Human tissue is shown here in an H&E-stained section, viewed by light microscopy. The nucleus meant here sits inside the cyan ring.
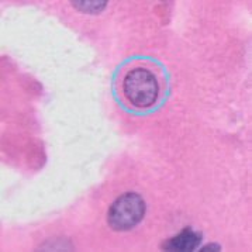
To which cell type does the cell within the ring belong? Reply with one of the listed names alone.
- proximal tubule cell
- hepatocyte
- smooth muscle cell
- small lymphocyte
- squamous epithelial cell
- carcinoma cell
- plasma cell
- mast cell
proximal tubule cell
